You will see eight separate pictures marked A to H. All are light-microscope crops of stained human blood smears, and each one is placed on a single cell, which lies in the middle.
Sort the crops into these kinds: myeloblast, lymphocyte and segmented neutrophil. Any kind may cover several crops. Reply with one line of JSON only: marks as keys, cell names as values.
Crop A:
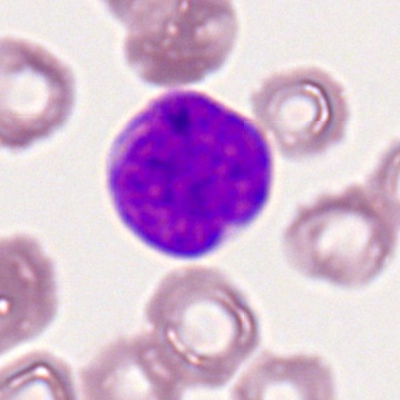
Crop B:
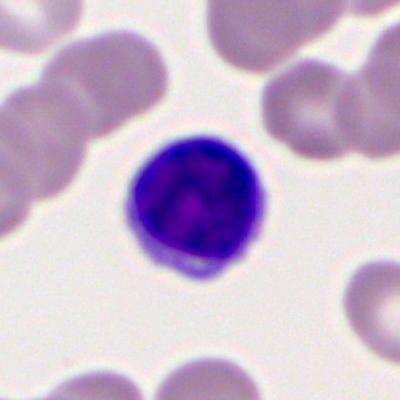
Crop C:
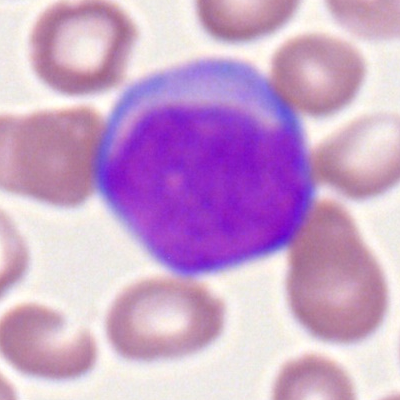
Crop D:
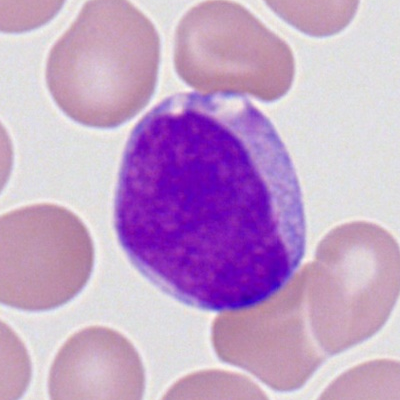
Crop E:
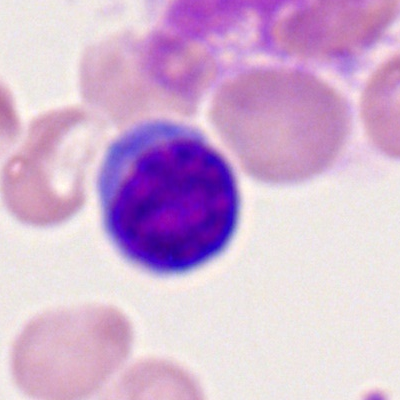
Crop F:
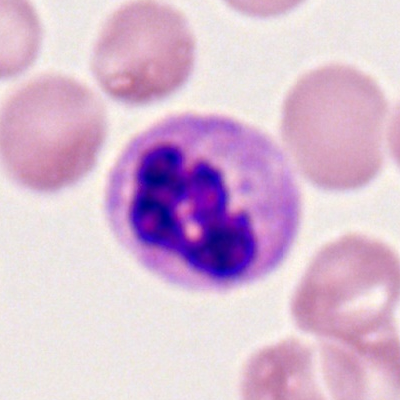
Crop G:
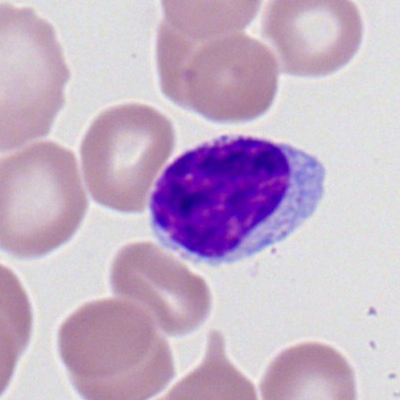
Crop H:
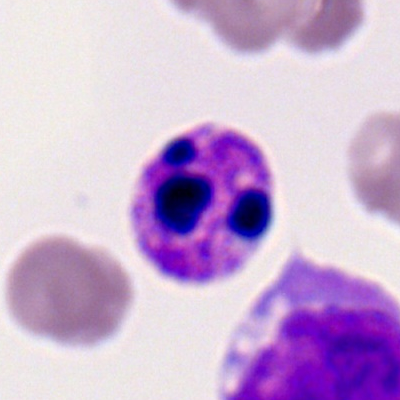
{"A": "myeloblast", "B": "lymphocyte", "C": "myeloblast", "D": "myeloblast", "E": "lymphocyte", "F": "segmented neutrophil", "G": "lymphocyte", "H": "segmented neutrophil"}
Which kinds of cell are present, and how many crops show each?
myeloblast: 3
lymphocyte: 3
segmented neutrophil: 2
